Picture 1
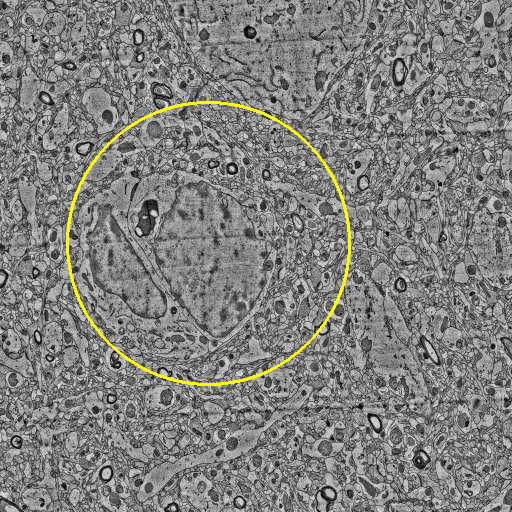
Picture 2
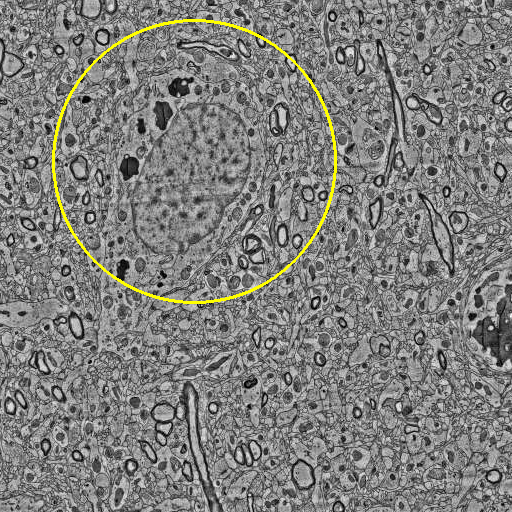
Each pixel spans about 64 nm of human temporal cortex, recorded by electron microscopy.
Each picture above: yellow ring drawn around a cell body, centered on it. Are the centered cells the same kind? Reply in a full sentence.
Yes, the two cells are the same kind.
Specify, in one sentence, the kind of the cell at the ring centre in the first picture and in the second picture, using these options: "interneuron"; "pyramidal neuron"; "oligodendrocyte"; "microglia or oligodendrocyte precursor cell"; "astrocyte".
The ring centre holds an interneuron in each of the two pictures.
